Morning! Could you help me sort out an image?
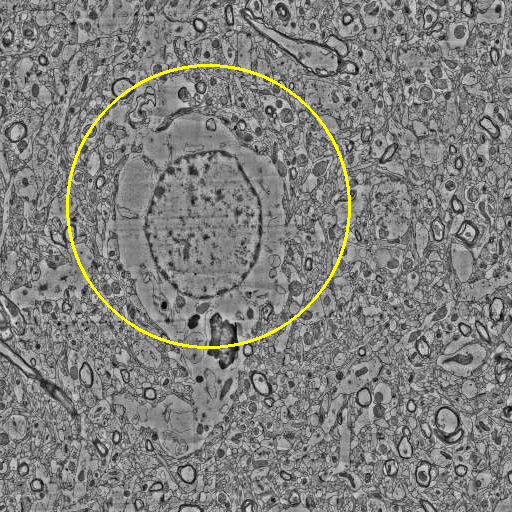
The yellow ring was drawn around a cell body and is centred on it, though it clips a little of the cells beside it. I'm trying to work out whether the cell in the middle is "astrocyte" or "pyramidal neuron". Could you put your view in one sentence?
The ringed cell body is that of an astrocyte.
